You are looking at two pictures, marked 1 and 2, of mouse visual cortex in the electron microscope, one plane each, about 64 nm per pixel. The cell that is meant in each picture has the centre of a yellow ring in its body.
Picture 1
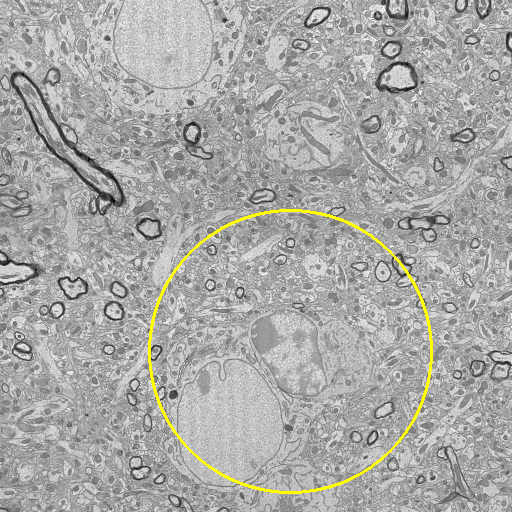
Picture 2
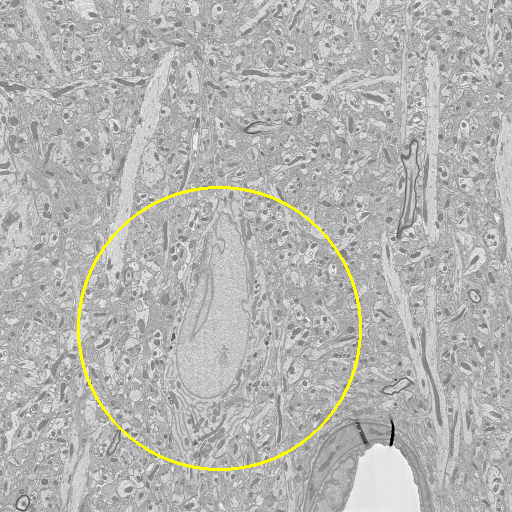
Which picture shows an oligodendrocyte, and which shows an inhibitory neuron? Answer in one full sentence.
The cell in picture 1 is an oligodendrocyte, and the one in picture 2 is an inhibitory neuron.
